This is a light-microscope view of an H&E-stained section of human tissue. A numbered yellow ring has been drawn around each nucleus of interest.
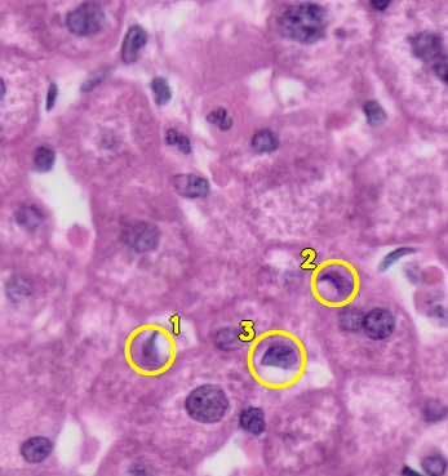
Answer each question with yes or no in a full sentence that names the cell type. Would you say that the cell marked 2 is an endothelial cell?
No, the cell labelled number 2 is not an endothelial cell; it is a fibroblast or stellate cell.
